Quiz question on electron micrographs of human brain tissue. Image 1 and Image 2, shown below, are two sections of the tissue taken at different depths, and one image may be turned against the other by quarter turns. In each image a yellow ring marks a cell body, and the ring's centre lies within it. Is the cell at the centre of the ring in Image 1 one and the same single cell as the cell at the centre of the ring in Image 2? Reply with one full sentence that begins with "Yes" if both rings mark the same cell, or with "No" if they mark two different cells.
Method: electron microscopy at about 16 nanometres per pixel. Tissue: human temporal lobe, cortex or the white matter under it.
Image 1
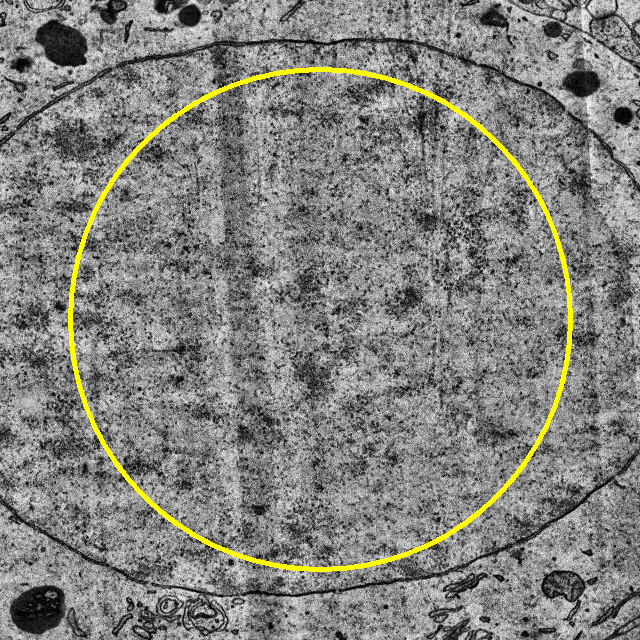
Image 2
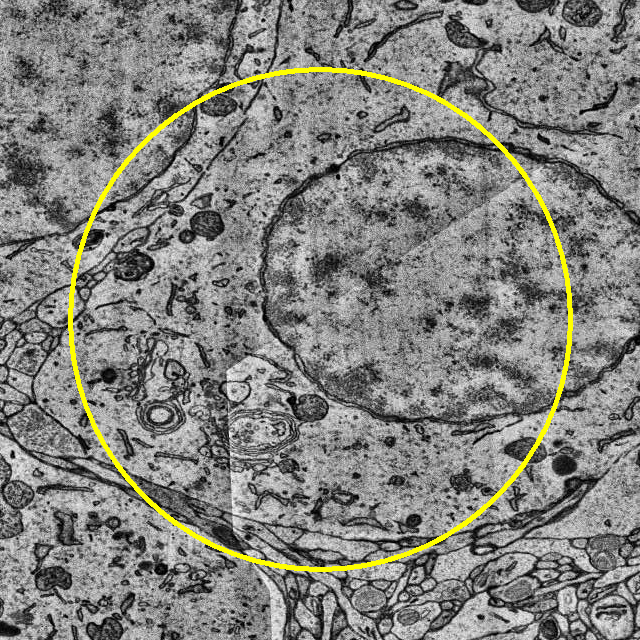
No, the two rings in this image mark separate cells.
